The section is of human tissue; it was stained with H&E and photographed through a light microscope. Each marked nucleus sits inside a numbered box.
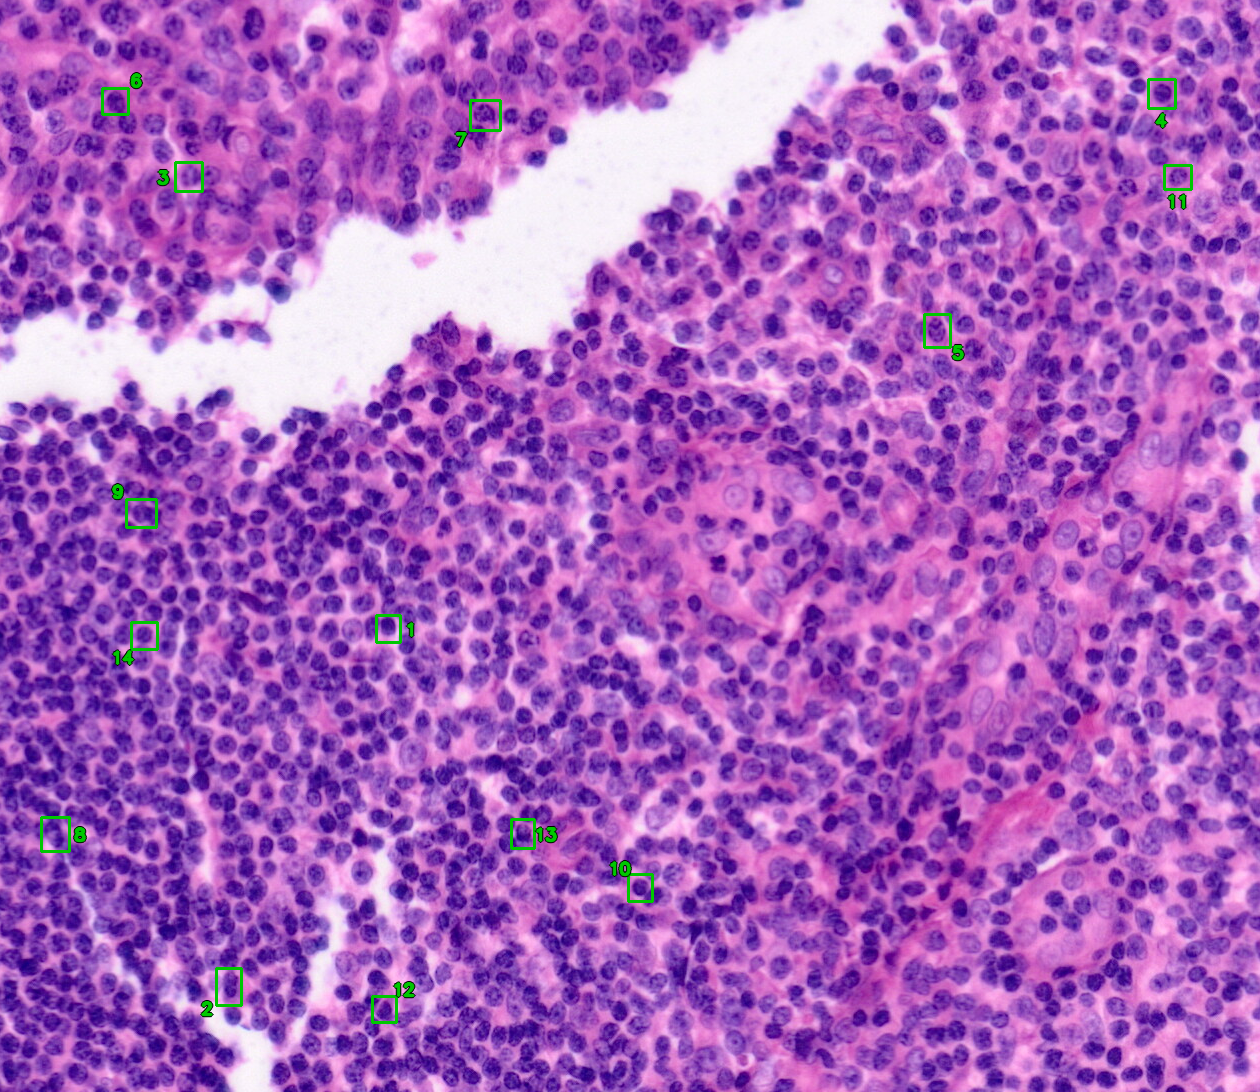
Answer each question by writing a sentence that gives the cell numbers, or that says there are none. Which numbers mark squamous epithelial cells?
All of the numbered cells are cells other than squamous epithelial cells.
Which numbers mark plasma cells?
Identified as plasma cells are the cells numbered 3, 4, 5, 6, 7 and 11.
